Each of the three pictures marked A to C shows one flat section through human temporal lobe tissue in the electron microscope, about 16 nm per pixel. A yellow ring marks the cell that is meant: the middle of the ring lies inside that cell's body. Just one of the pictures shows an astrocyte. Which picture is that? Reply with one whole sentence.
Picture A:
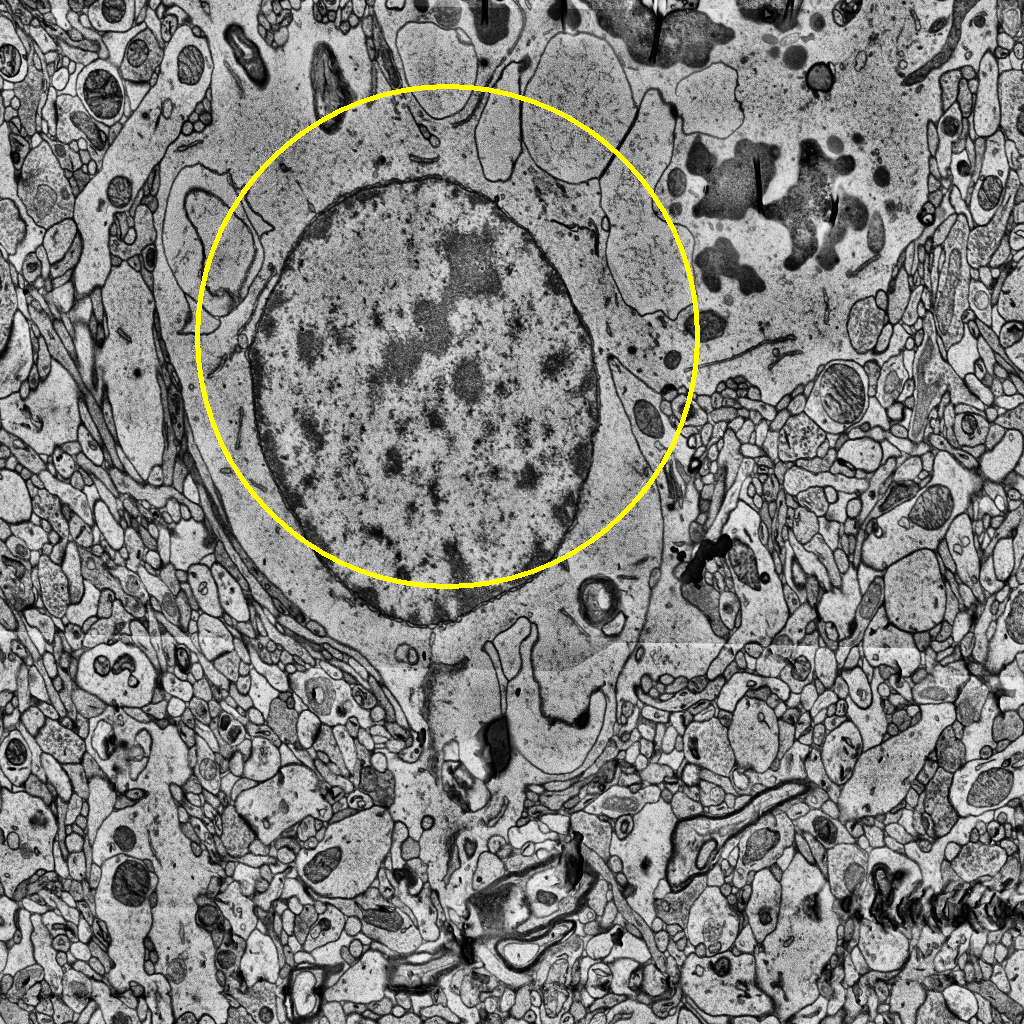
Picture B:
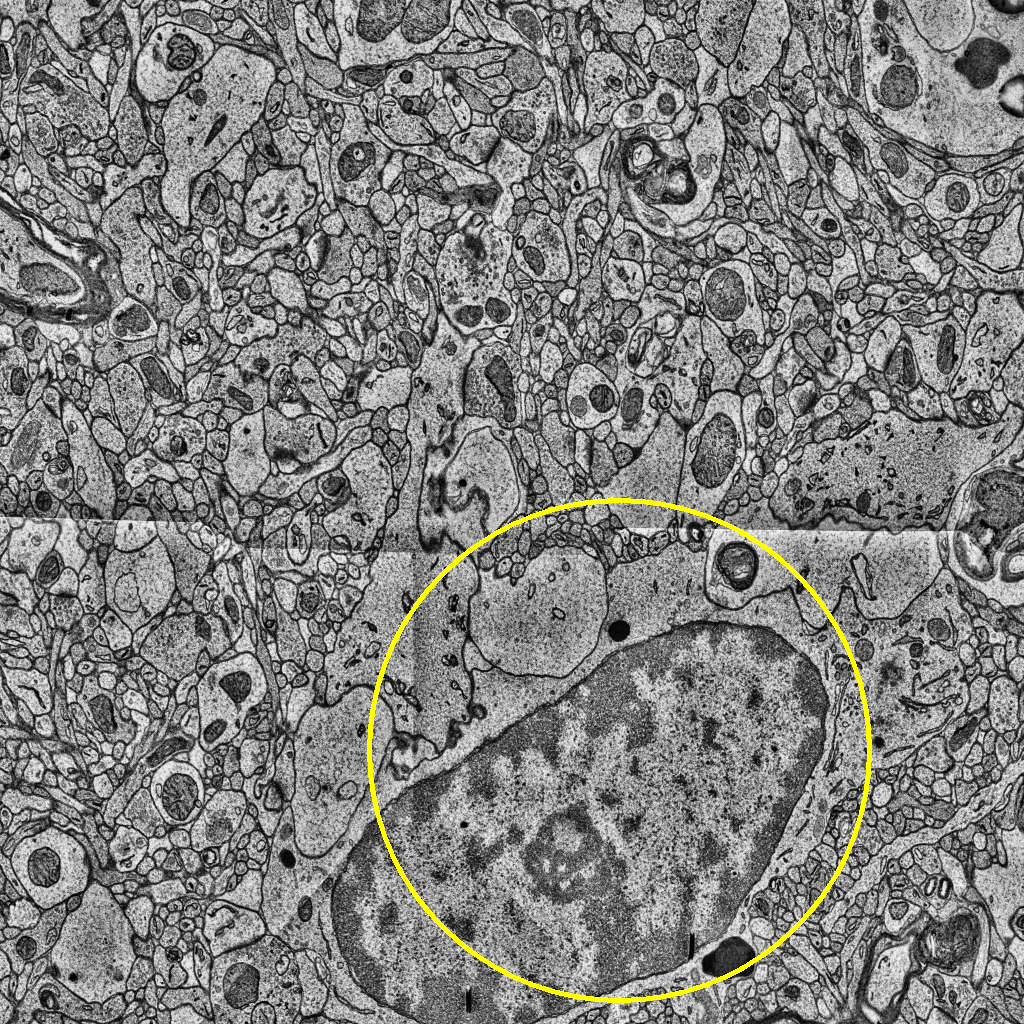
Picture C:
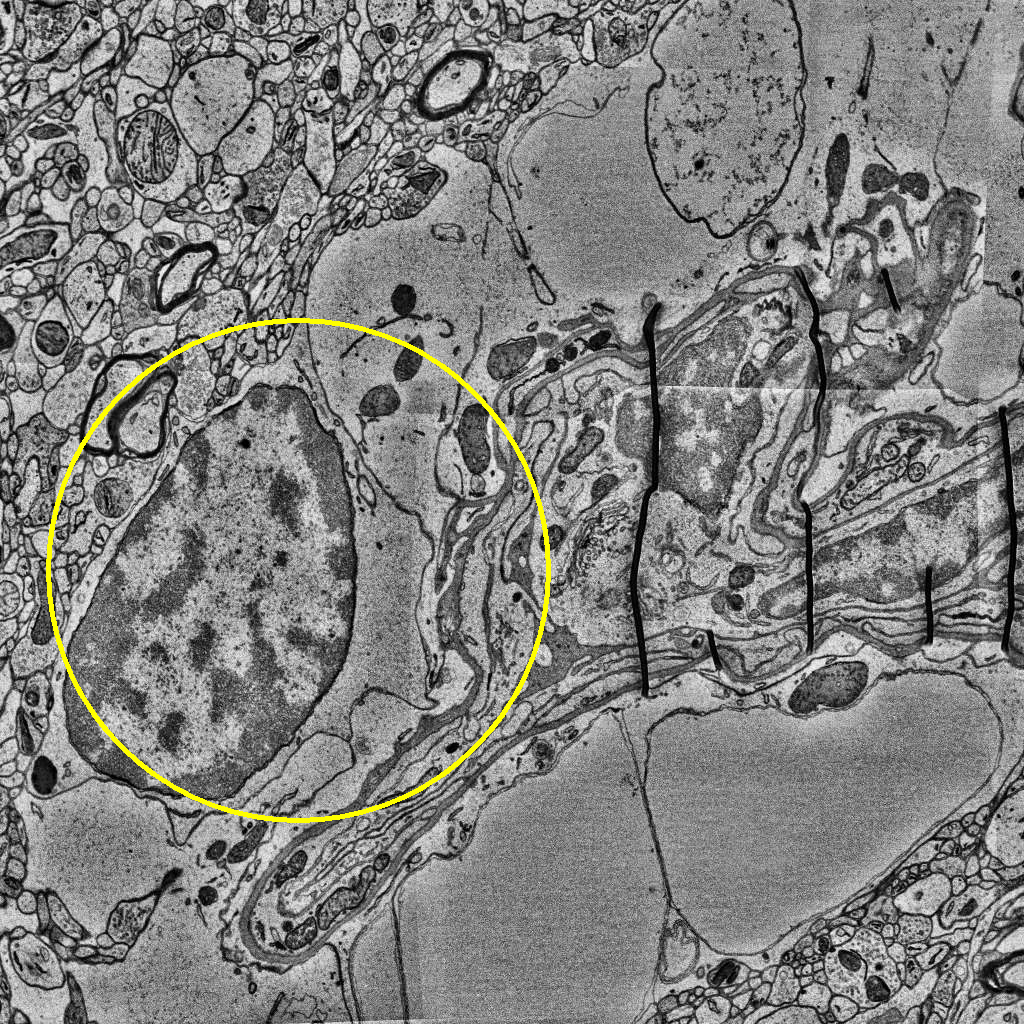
Picture A shows the astrocyte.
